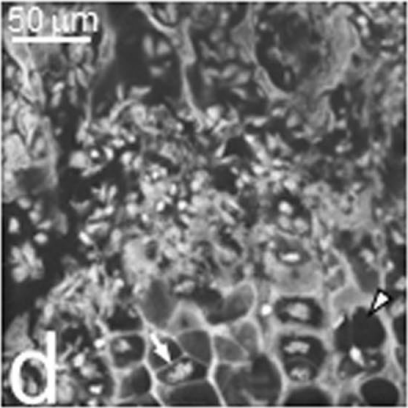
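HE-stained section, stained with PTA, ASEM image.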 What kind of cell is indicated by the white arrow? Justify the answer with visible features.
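The arrow points to a cell inside a large polygonal compartment. The compartment is bounded by bright thin walls. On this evidence: hypertrophic chondrocyte.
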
